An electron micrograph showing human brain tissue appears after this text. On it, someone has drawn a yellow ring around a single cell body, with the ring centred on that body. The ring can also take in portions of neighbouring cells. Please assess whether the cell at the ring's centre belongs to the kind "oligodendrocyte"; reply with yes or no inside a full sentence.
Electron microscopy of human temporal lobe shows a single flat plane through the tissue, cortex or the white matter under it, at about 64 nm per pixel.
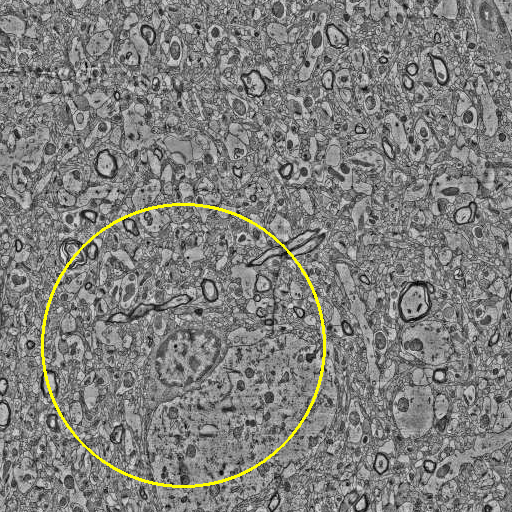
Yes, in this micrograph the cell at the centre of the ring is of that kind.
